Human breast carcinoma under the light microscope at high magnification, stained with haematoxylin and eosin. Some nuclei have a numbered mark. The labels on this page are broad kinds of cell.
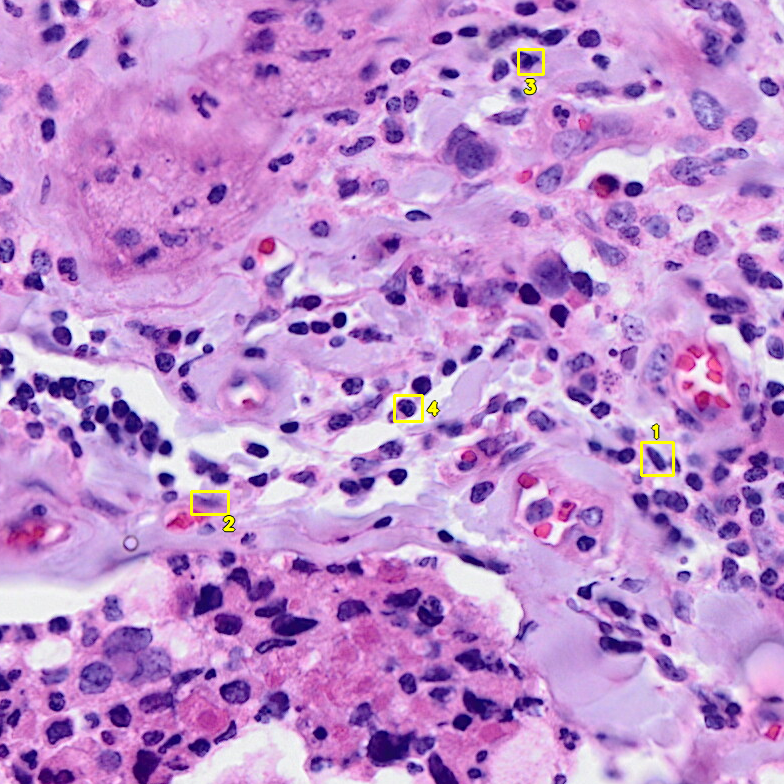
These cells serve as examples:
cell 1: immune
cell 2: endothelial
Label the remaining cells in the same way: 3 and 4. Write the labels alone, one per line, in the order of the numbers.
immune
immune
